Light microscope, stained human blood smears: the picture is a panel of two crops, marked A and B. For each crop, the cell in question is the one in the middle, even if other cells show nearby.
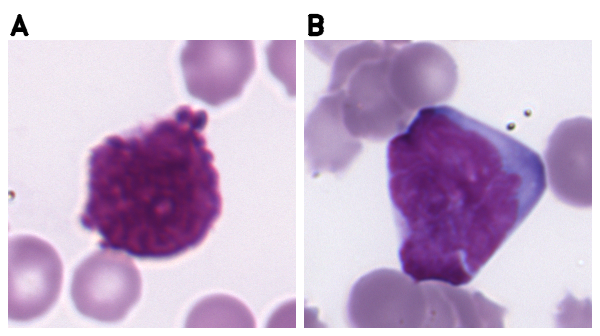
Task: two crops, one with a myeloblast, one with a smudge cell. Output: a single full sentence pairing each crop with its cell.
In crop B the central cell is a myeloblast, and in crop A it is a smudge cell.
